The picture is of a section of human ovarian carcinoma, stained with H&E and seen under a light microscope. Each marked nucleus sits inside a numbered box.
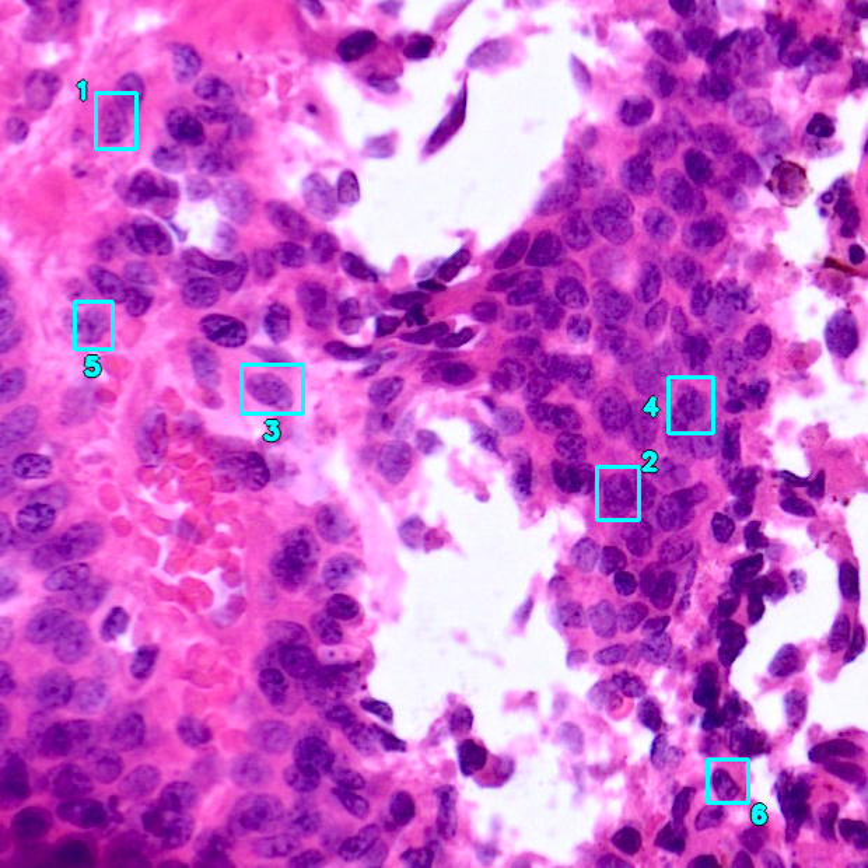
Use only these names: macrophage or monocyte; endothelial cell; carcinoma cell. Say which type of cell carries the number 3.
carcinoma cell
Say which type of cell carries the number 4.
carcinoma cell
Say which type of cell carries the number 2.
carcinoma cell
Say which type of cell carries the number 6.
macrophage or monocyte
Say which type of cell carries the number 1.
carcinoma cell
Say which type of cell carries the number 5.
macrophage or monocyte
